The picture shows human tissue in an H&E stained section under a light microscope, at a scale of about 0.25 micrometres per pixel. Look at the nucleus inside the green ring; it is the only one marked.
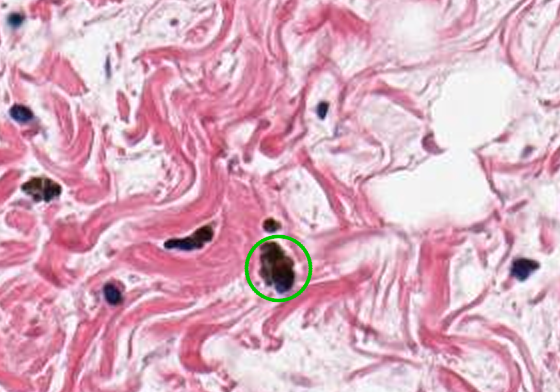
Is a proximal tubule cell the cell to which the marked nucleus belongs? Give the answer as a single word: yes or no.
no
